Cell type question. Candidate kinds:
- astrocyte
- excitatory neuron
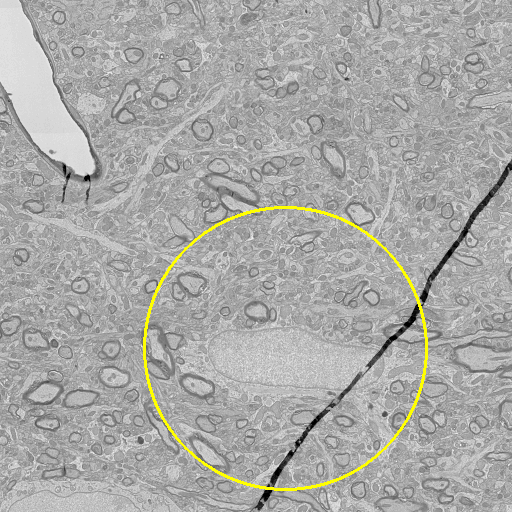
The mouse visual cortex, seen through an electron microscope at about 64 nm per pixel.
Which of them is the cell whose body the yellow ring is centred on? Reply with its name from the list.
astrocyte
